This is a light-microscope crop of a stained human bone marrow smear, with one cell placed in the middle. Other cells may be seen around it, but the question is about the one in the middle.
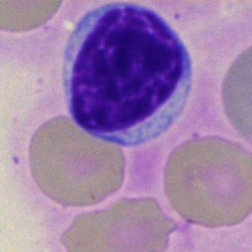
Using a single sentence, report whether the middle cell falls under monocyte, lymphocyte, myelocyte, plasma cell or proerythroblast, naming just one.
Here the centrally located cell is a lymphocyte.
